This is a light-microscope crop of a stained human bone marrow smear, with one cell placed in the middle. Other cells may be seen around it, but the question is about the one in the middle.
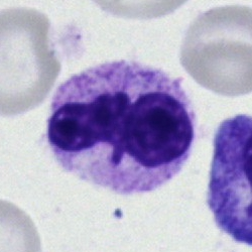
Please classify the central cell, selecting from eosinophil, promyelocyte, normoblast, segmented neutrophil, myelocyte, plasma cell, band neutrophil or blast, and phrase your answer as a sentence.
The cell under consideration, at the middle of the crop, is a segmented neutrophil.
